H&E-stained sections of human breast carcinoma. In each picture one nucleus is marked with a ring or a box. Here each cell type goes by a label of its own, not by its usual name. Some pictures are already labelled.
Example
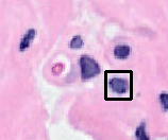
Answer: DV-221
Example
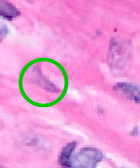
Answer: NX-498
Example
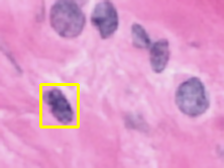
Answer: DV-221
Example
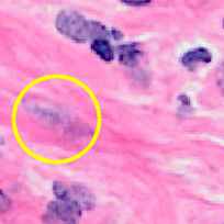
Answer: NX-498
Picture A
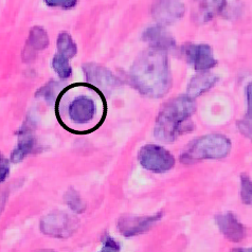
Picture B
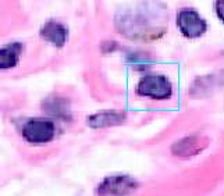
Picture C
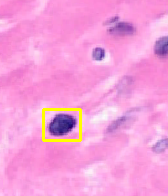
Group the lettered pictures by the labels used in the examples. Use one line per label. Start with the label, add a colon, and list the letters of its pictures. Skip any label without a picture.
DV-221: A, B, C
